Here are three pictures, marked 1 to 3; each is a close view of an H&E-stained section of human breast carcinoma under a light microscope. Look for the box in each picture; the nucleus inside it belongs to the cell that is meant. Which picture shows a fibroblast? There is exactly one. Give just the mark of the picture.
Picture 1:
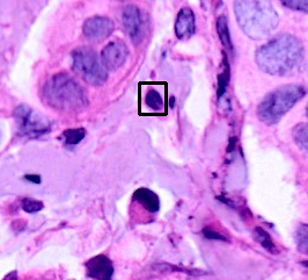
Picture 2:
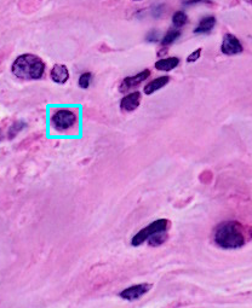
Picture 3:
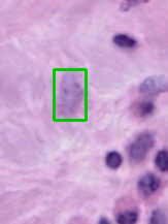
3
